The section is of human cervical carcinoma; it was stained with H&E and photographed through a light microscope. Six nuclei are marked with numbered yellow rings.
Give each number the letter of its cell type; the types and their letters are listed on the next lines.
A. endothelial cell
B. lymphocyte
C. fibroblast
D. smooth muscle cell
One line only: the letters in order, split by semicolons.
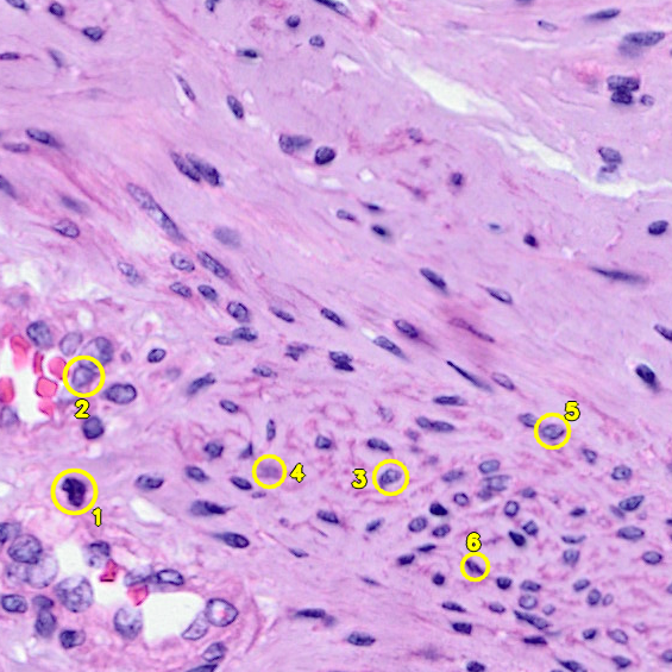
B; A; D; D; D; D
